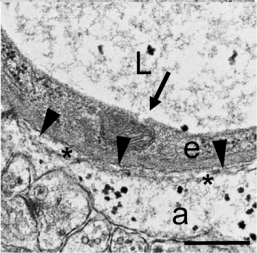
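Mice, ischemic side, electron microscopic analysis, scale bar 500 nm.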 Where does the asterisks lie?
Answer: The space between the basement membrane and astrocyte endfeet.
